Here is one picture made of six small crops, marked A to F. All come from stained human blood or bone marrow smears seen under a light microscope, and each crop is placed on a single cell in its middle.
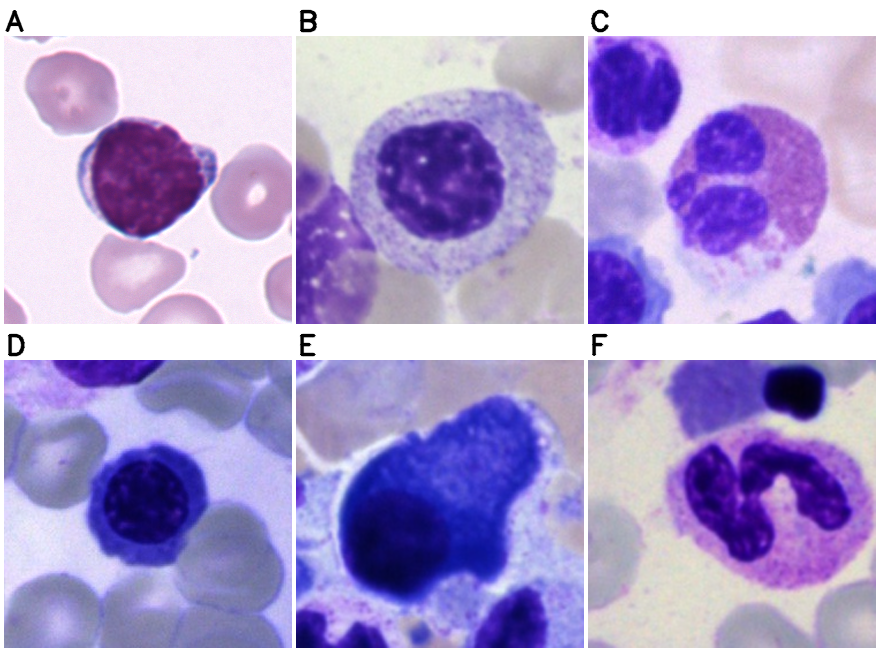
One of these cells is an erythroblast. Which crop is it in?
D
